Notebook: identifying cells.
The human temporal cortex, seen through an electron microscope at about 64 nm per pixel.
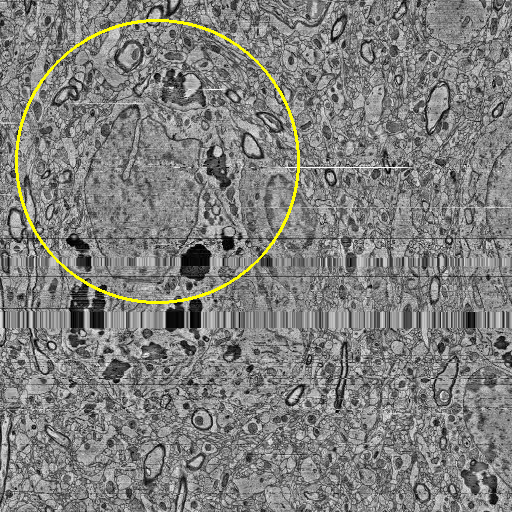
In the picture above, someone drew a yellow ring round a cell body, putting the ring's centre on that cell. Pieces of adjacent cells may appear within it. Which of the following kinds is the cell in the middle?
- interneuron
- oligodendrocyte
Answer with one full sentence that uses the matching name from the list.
In this picture, the yellow ring is centred on the body of an interneuron.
